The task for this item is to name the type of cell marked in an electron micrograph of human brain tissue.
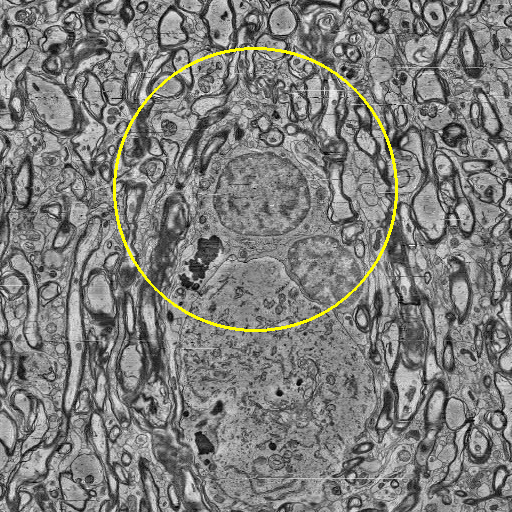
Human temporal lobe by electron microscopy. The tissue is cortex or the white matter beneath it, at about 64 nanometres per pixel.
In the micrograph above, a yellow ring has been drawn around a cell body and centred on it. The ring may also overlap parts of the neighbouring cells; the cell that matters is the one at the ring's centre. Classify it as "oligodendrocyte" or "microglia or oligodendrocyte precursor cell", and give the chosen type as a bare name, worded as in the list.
oligodendrocyte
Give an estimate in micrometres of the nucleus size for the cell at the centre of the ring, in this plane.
The nucleus comes to roughly 6 micrometres across in this plane.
